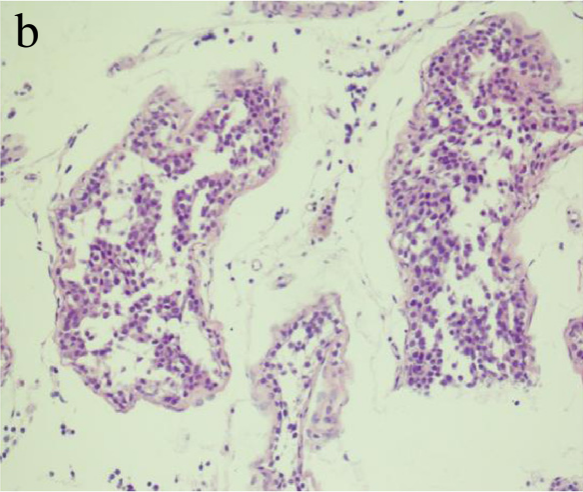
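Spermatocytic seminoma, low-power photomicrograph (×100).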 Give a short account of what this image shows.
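Tubular structures of the testis, the seminiferous tubules, are seen cut in section and filled with tumor cells. Each tubule is bounded by a thin, pink-staining membrane, and its interior is crowded with closely packed cells bearing round, dark purple nuclei and scant pale cytoplasm; small clefts and pale gaps lie among them. Between the tubules the stroma is loose and pale, with only scattered small, dark nuclei of stromal cells and occasional lymphocytes, so that inflammatory infiltration is sparse.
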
